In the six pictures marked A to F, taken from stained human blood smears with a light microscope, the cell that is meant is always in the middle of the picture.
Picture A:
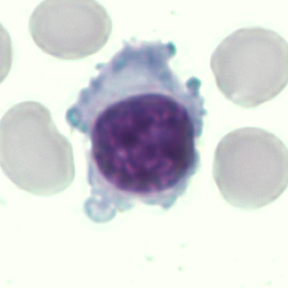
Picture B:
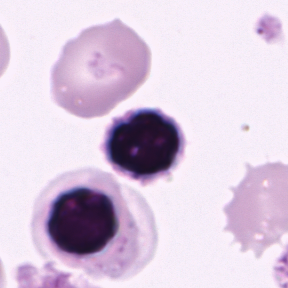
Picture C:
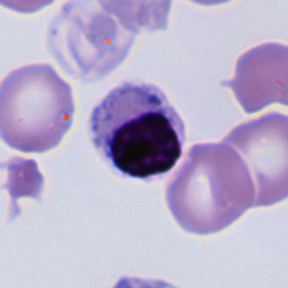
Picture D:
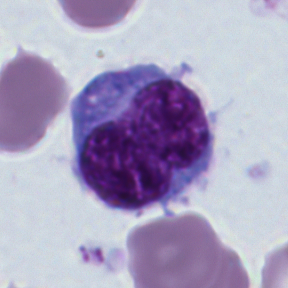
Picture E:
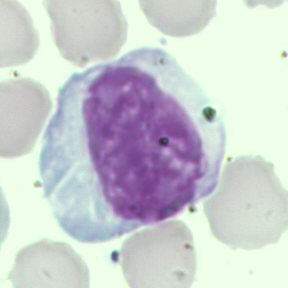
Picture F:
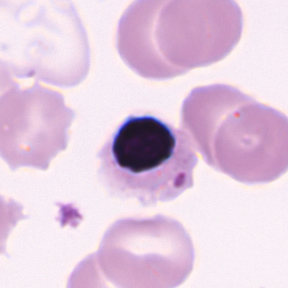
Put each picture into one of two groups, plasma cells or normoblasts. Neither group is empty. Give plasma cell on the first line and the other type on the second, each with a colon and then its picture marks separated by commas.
plasma cell: A, D, E
normoblast: B, C, F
